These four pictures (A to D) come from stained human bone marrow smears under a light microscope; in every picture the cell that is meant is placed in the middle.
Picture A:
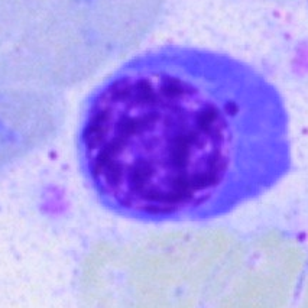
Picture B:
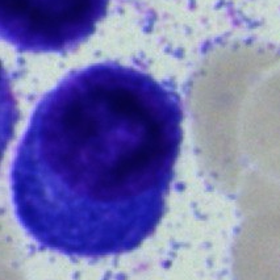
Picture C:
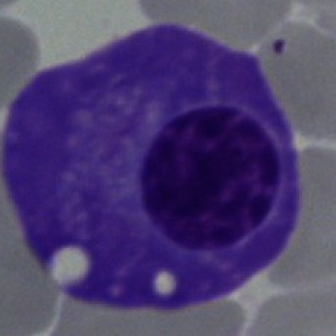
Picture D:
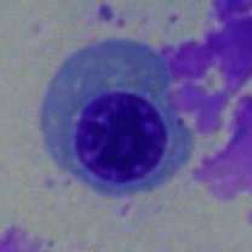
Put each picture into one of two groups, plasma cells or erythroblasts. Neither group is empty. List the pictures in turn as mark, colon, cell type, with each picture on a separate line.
A: erythroblast
B: plasma cell
C: plasma cell
D: erythroblast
